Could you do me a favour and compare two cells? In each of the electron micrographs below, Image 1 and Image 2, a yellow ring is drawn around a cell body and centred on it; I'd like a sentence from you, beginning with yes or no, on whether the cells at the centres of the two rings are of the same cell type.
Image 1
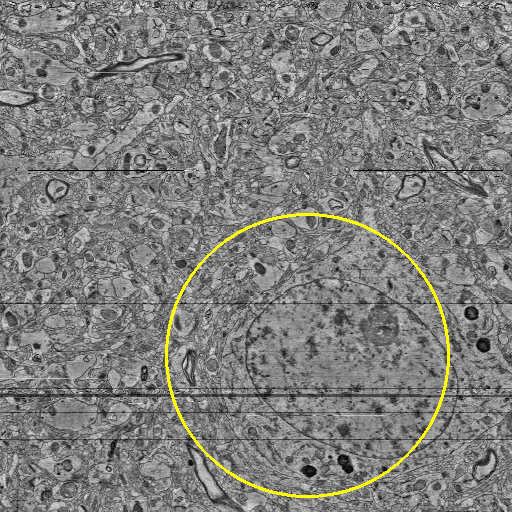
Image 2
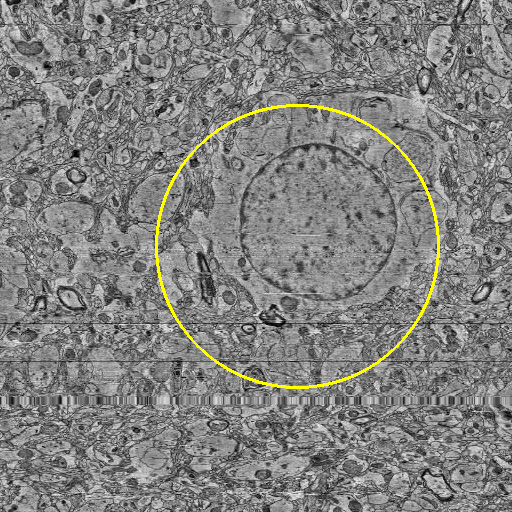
No, the two cells are of two cell types.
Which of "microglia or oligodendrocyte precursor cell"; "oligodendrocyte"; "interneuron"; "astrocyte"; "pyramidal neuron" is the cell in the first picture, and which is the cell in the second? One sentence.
The two differ: the first cell is a pyramidal neuron and the second is an astrocyte.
